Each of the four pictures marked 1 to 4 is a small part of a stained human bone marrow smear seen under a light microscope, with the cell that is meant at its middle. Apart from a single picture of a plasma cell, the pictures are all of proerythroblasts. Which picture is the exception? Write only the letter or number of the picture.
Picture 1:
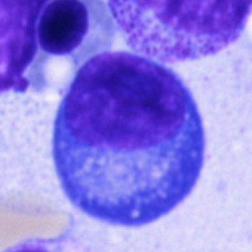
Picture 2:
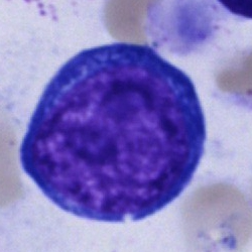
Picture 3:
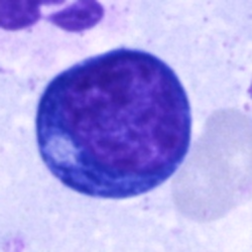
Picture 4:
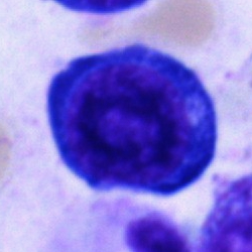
1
